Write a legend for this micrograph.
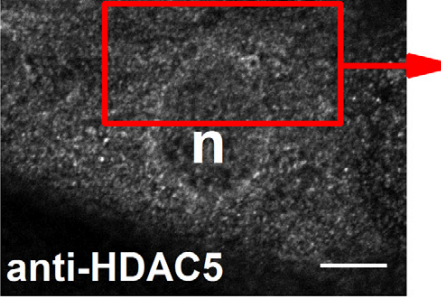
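The signal is a fine, evenly spread granular speckle over both cytoplasm and nucleus, with no strong brightening of the nucleus; its outline is only faintly visible as a slightly denser ring of speckles. The cytoplasm extends widely around the nucleus, and a darker, unlabelled region lies toward the lower left, marking the edge of the cell. No distinct organelles or cross-striations are resolved.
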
